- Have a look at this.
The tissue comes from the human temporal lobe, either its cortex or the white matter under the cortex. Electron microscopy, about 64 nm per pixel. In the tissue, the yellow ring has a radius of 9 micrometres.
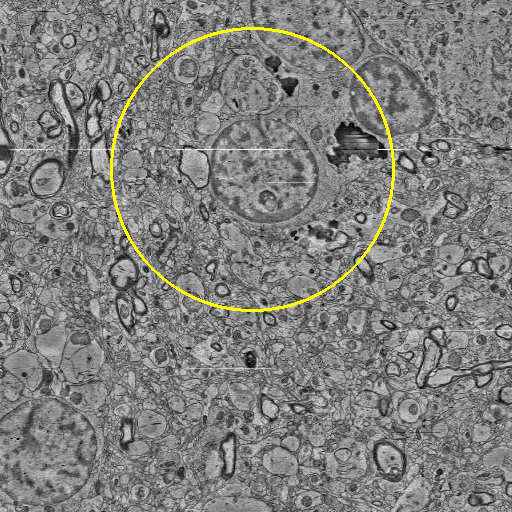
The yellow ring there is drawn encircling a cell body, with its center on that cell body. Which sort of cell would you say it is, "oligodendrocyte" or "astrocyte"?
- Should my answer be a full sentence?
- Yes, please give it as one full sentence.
For this picture, an oligodendrocyte is the cell where the yellow ring has its center.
